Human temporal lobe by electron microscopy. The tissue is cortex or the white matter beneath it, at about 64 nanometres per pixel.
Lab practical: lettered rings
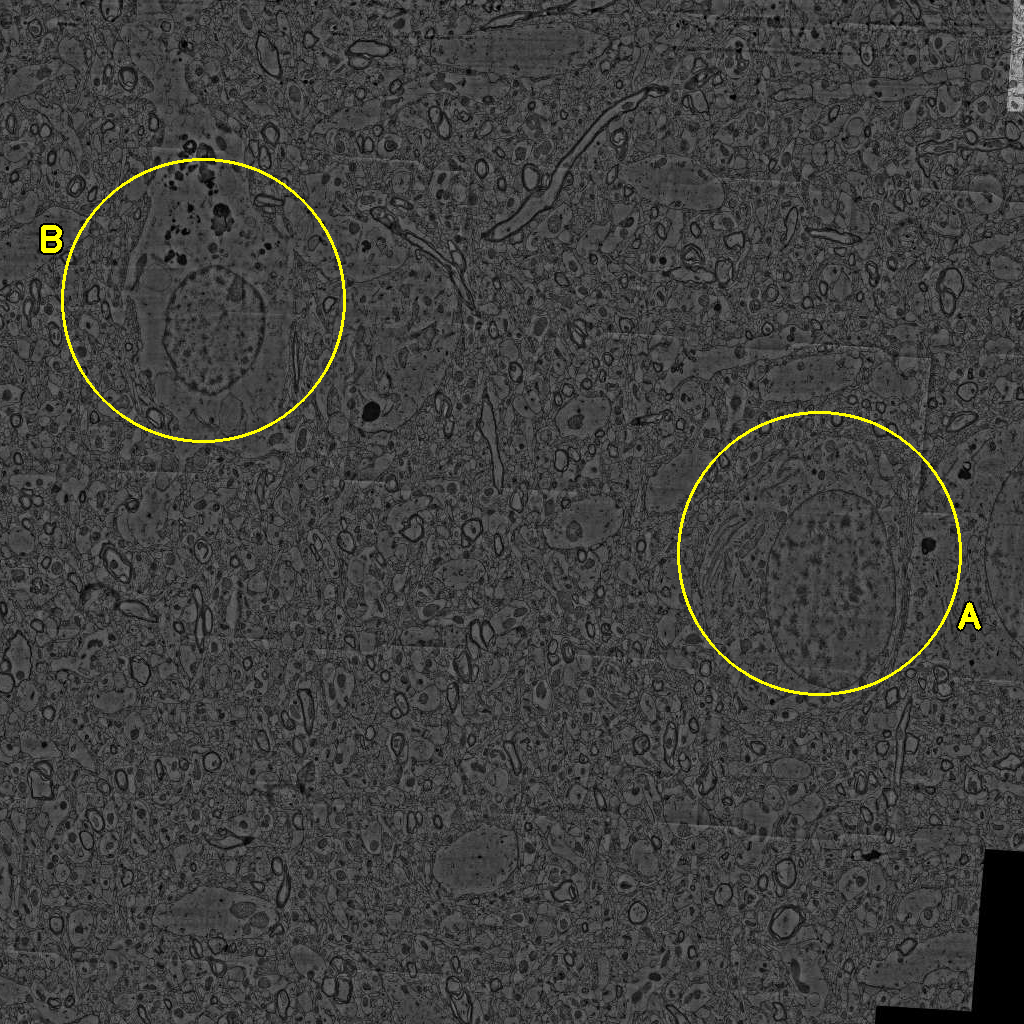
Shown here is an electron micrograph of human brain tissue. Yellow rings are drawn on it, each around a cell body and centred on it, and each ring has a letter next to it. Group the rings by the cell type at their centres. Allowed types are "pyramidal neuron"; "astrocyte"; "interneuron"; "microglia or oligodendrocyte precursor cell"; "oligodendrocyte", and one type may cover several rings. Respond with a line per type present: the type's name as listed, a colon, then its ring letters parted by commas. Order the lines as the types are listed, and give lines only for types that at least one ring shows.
astrocyte: B
interneuron: A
